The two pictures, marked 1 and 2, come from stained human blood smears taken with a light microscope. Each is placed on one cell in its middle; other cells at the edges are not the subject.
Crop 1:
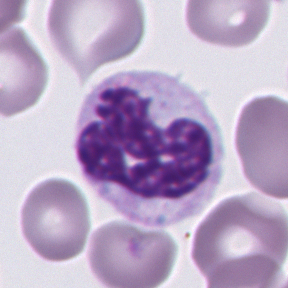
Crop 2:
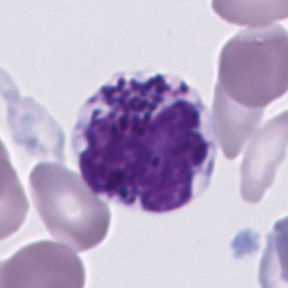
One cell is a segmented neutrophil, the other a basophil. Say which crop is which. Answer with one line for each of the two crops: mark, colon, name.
1: segmented neutrophil
2: basophil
